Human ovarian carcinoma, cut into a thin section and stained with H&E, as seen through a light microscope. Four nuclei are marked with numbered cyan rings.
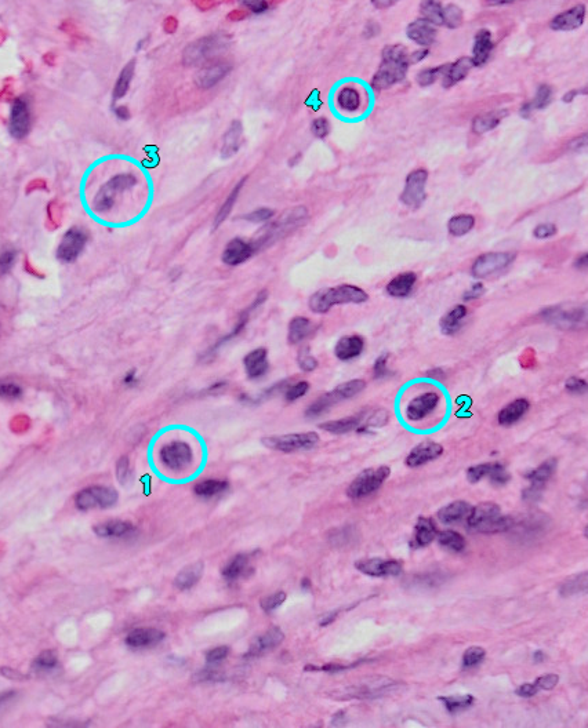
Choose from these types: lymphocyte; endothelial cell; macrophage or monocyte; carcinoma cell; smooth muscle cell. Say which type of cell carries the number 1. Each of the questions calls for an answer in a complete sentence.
The expected answer is that cell 1 is a lymphocyte.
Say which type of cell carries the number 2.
The cell indicated by marker 2 is a lymphocyte in this section.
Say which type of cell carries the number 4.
The cell referred to as 4 is a lymphocyte.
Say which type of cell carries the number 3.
The cell bearing label 3 corresponds to a macrophage or monocyte.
